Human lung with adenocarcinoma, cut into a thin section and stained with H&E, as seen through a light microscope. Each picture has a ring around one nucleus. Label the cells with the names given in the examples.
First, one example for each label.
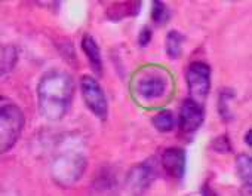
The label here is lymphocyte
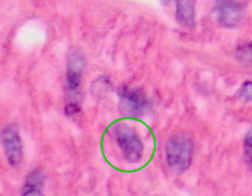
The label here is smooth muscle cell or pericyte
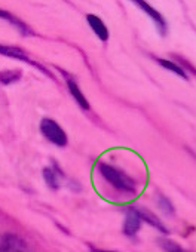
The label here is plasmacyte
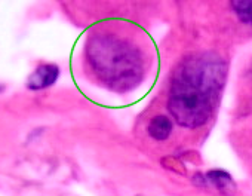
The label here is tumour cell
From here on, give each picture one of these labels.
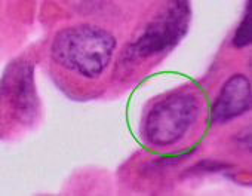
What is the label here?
tumour cell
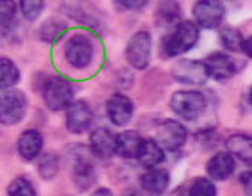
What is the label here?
lymphocyte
